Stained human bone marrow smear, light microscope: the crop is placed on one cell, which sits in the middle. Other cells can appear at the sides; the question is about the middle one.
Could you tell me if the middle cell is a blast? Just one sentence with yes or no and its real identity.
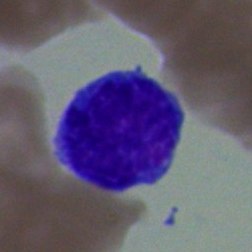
Yes, the cell in the centre is a blast.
